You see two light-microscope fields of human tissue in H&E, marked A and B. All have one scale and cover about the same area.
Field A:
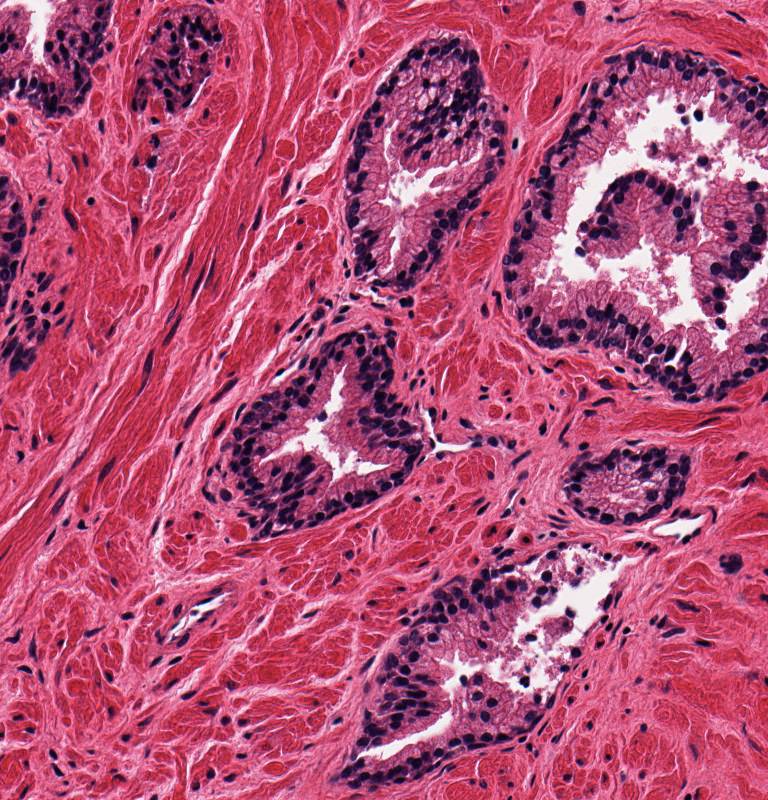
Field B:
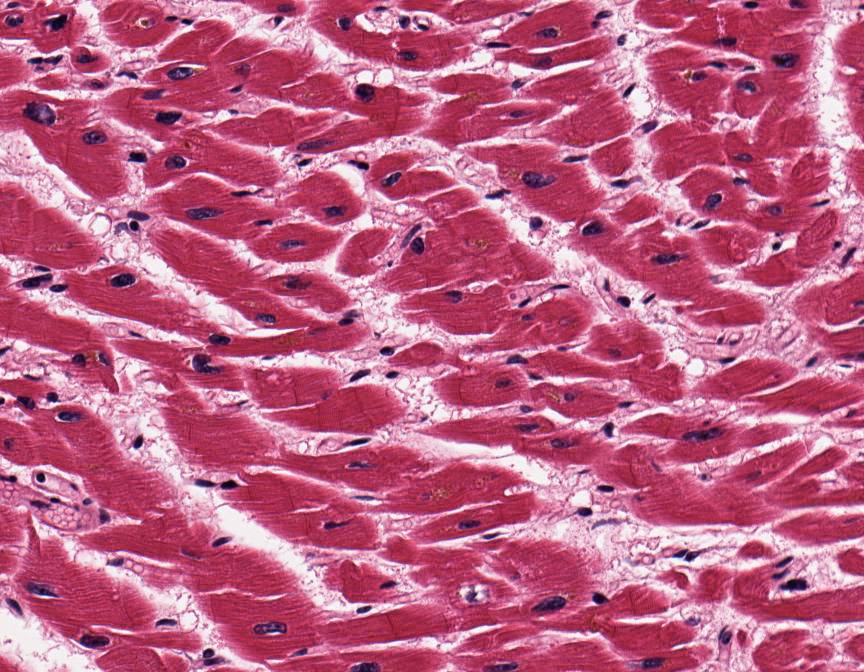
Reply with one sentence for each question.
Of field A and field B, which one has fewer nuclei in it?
Field B holds fewer nuclei than field A.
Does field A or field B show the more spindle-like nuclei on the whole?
Longer, more slender nuclei lie in field B.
